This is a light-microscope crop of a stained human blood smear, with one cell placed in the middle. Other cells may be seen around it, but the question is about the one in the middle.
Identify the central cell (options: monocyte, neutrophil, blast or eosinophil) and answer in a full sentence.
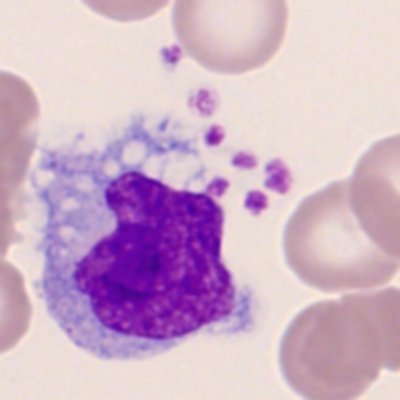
The central cell, amid any neighbouring cells, is a monocyte.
